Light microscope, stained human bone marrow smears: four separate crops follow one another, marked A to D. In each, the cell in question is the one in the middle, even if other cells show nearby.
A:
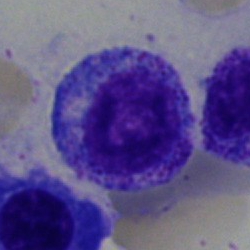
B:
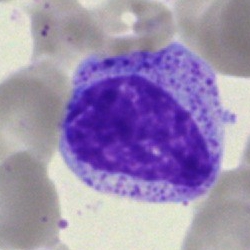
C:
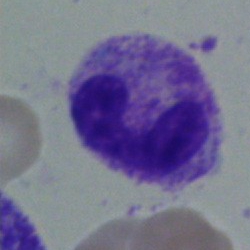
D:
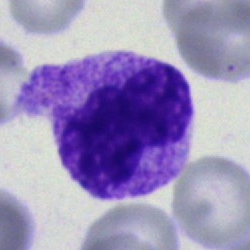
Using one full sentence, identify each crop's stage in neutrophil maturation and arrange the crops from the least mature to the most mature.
From the earliest stage onward, the order is crop A (a promyelocyte), crop B (a myelocyte), crop D (a metamyelocyte) and crop C (a band neutrophil).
